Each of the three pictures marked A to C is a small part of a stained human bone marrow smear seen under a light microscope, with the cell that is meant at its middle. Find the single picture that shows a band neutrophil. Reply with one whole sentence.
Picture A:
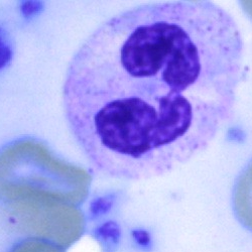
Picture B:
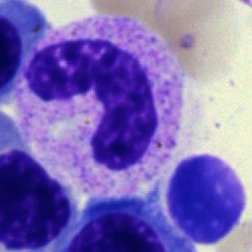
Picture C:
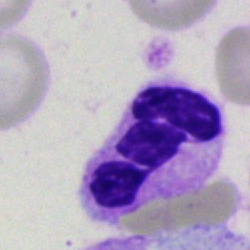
It is picture B that shows the band neutrophil.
